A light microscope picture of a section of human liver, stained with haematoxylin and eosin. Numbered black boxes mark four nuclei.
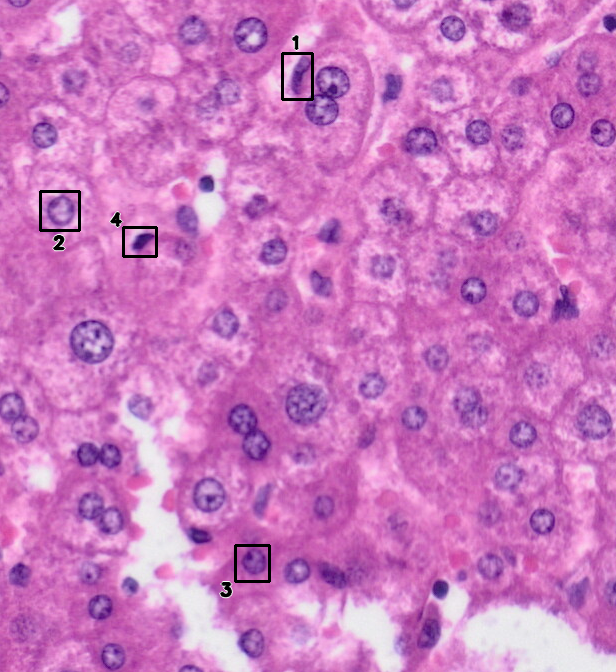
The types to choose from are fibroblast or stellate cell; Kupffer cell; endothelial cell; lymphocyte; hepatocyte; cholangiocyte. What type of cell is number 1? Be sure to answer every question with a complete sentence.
The cell given label 1 is a Kupffer cell.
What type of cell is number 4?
Number 4 among the marked cells is an endothelial cell.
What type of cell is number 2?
The cell that carries the label 2 is a hepatocyte.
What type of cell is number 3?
Cell 3, as marked in the section, is a hepatocyte.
